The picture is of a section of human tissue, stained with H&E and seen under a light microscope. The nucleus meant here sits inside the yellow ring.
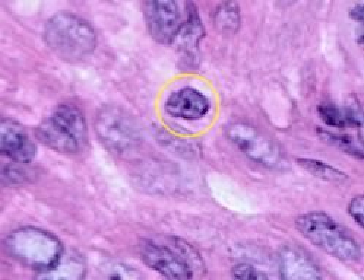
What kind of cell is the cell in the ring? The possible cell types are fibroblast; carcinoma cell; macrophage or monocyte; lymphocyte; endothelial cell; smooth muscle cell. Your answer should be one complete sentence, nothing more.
In the tissue at hand, the cell in the ring is a lymphocyte.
